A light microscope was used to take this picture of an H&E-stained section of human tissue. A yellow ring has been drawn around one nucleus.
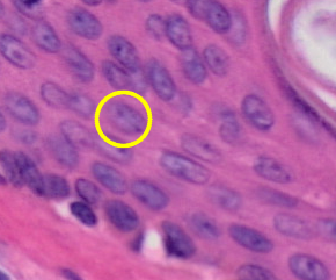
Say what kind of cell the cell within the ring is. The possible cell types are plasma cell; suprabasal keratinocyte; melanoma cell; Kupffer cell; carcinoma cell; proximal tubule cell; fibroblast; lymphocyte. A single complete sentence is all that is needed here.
With respect to cell type, the cell within the ring is a suprabasal keratinocyte.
